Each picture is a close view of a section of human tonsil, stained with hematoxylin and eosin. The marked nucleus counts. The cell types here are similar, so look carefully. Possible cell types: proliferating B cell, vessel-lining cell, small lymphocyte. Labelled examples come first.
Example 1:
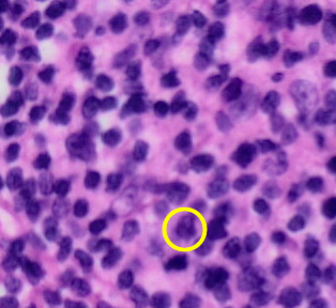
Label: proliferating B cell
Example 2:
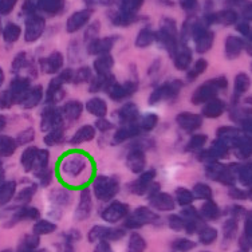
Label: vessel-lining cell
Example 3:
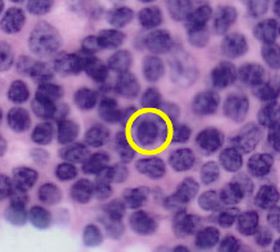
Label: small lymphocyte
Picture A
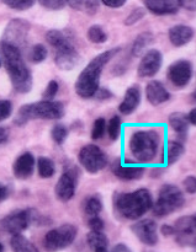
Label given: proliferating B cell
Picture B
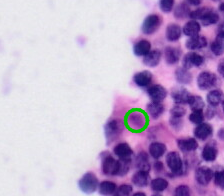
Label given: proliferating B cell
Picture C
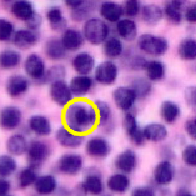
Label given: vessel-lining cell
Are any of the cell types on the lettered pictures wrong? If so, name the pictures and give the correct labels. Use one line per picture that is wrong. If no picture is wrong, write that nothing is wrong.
B: not proliferating B cell but vessel-lining cell
C: not vessel-lining cell but small lymphocyte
